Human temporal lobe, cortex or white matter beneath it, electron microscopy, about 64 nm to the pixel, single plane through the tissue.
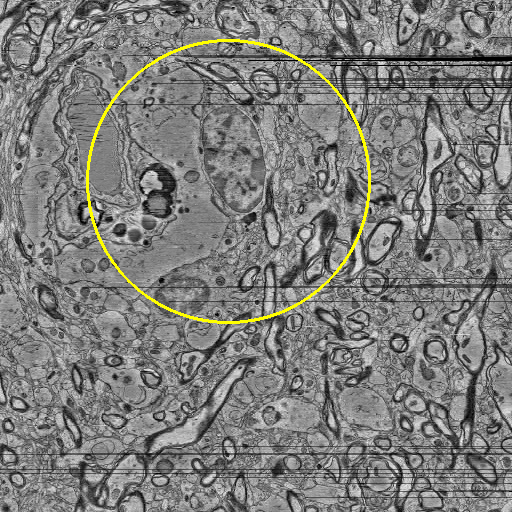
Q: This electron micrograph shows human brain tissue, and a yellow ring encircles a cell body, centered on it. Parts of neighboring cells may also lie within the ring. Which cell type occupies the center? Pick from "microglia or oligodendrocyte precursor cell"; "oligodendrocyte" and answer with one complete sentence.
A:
What sits at the ring's center in this micrograph is a microglial cell or oligodendrocyte precursor cell, among those choices.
